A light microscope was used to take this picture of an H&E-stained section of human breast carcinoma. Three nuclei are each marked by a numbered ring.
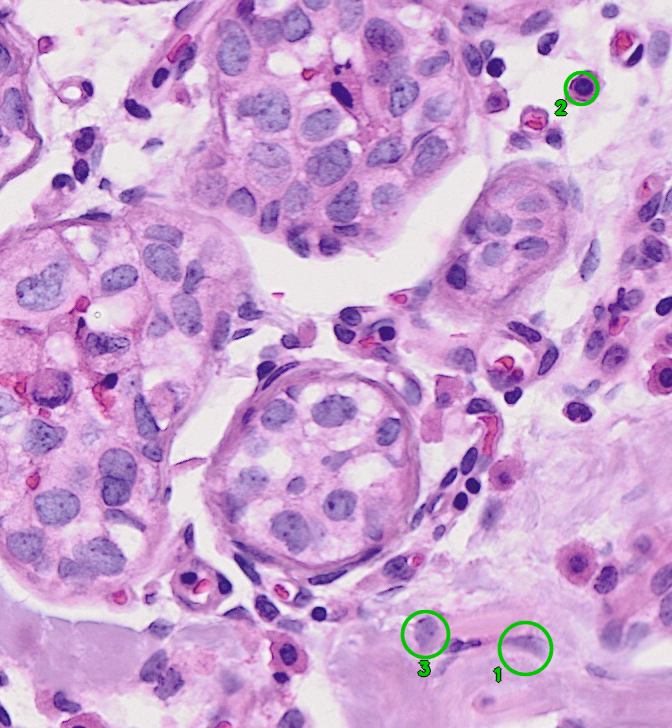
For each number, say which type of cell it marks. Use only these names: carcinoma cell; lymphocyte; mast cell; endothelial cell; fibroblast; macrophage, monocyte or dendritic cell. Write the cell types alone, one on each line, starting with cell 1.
fibroblast
mast cell
fibroblast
